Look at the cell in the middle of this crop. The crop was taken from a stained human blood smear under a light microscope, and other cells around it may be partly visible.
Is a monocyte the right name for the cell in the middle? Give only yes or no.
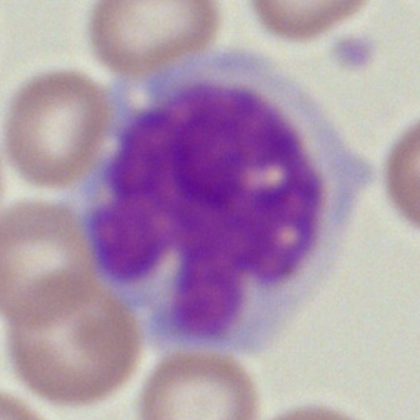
yes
